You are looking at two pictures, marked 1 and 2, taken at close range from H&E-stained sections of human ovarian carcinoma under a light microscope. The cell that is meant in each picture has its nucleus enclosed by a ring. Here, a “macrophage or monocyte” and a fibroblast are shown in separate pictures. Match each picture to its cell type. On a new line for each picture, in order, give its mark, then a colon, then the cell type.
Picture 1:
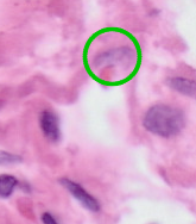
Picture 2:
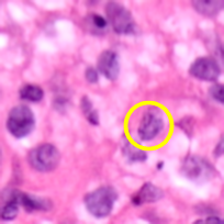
1: fibroblast
2: macrophage or monocyte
